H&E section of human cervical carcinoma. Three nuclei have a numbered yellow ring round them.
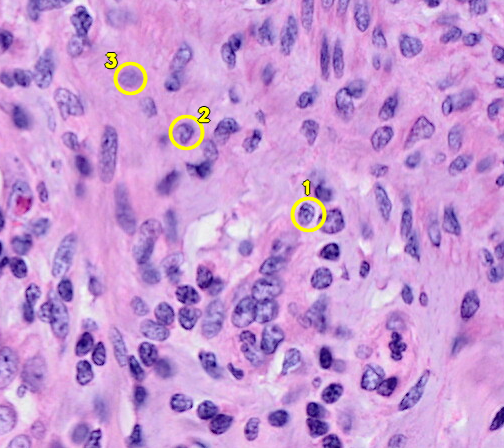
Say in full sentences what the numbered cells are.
Cell 1 is a lymphocyte, cell 2 is a smooth muscle cell and cell 3 is a smooth muscle cell.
